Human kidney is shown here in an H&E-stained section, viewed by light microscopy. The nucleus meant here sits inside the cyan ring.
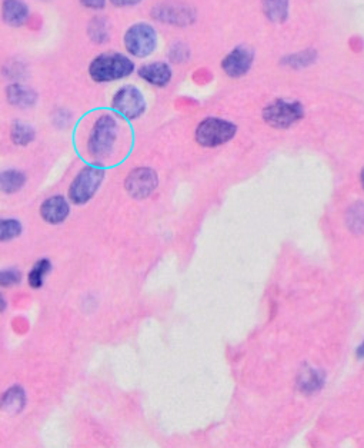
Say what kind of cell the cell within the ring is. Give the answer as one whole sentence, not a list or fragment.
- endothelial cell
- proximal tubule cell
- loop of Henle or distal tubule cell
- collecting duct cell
The category to which the cell within the ring belongs is that of a collecting duct cell.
